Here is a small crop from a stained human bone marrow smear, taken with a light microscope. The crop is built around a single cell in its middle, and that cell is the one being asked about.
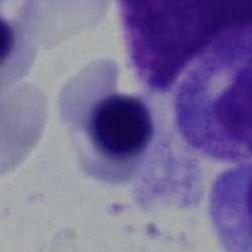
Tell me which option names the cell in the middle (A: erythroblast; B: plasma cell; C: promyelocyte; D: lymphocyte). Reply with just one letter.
A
